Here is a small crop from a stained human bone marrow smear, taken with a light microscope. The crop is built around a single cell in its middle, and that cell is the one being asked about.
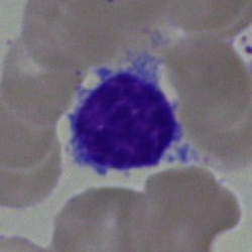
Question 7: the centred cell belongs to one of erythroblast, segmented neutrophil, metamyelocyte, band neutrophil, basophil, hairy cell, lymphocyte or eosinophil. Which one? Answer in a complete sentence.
In the central position of this crop, the cell is a lymphocyte.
